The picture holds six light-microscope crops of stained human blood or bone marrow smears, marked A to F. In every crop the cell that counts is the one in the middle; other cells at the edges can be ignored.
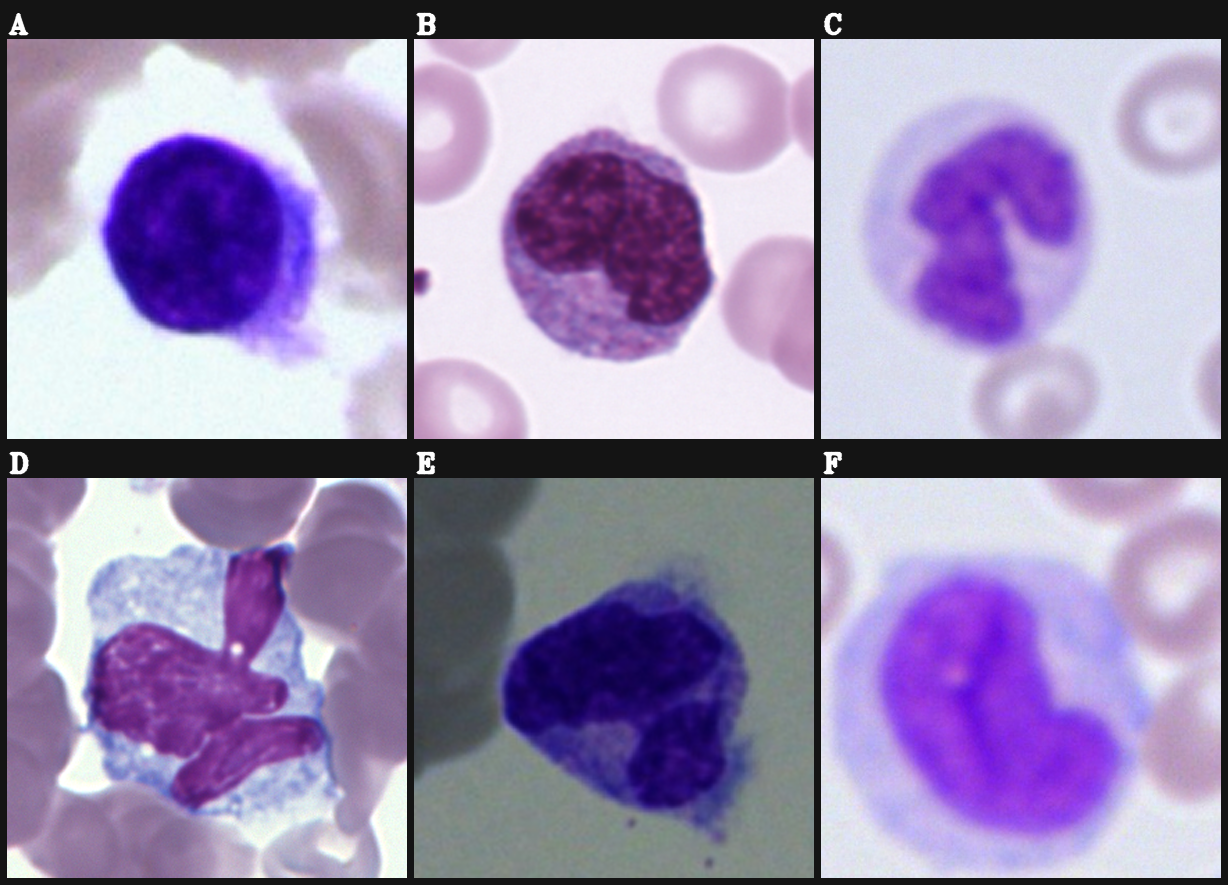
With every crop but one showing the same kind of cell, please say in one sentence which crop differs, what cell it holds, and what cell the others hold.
Crop A does not match the others; it shows a lymphocyte, and they show monocytes.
